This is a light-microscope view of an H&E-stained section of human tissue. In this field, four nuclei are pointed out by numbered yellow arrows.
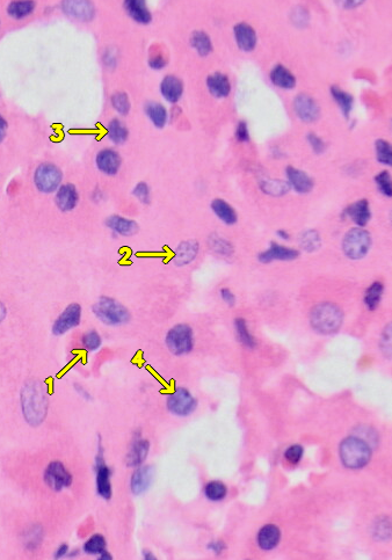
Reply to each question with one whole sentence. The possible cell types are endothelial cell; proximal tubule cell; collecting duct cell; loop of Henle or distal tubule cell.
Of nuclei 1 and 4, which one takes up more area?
The larger nucleus is 4, at roughly 2 times the area of 1.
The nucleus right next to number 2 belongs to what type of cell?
Closest to number 2 lies the nucleus of a loop of Henle or distal tubule cell.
